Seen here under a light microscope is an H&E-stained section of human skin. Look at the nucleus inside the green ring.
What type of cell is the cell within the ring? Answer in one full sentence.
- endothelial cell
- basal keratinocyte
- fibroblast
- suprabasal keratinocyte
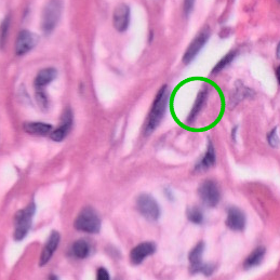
For the purposes of cell typing, the cell within the ring is categorized as an endothelial cell.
